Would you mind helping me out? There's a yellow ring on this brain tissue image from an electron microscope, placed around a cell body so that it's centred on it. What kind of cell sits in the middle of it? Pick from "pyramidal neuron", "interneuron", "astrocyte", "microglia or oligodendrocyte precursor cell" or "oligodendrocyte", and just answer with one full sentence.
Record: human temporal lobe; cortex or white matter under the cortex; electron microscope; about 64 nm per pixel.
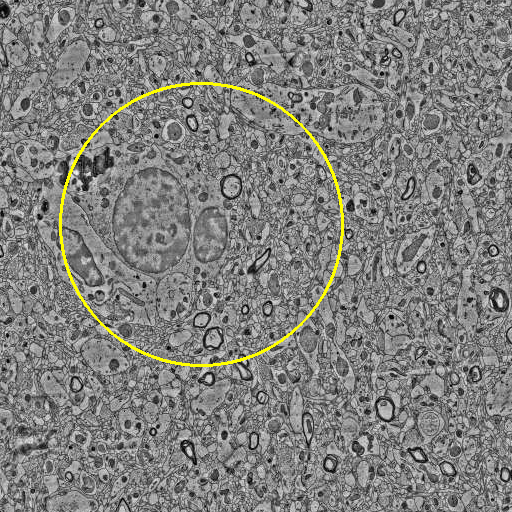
What sits in the middle of that yellow ring is an oligodendrocyte, from your choices.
